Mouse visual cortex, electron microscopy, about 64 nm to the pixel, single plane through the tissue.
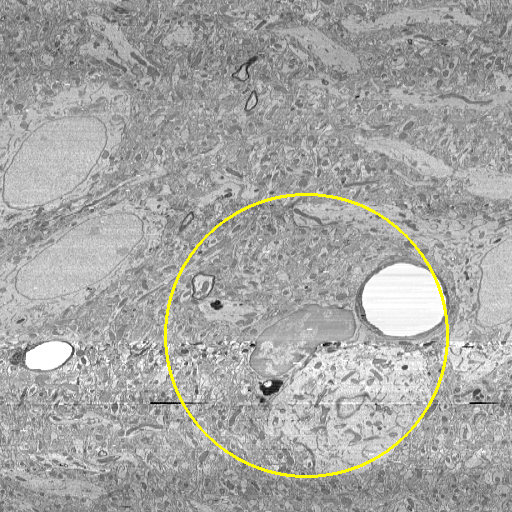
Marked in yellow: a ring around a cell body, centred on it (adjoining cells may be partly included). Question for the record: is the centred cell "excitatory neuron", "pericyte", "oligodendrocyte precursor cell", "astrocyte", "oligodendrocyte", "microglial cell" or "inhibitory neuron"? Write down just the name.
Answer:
microglial cell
